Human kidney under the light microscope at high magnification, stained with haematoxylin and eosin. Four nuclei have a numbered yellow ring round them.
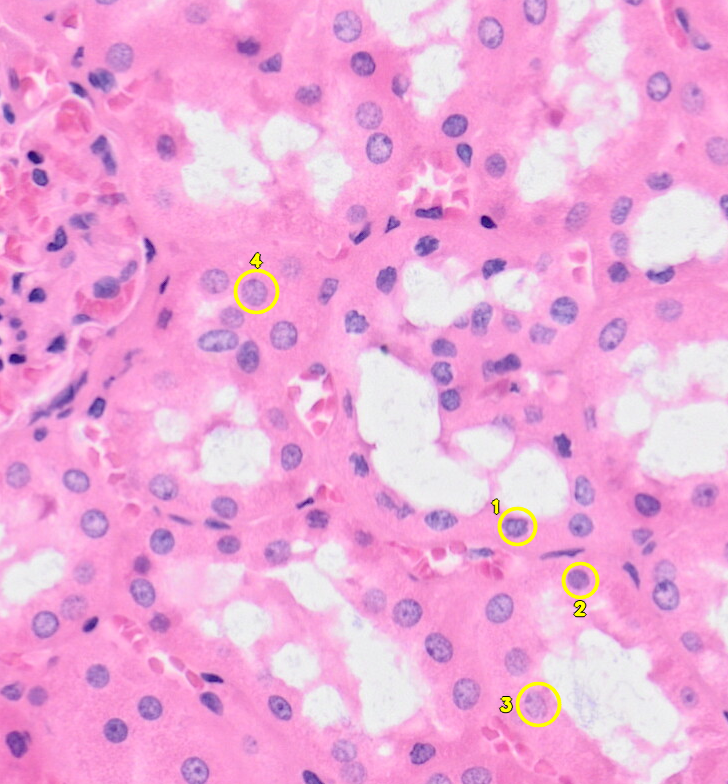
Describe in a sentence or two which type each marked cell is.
Cell 1 is a loop of Henle or distal tubule cell. Cells 2, 3 and 4 are proximal tubule cells.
